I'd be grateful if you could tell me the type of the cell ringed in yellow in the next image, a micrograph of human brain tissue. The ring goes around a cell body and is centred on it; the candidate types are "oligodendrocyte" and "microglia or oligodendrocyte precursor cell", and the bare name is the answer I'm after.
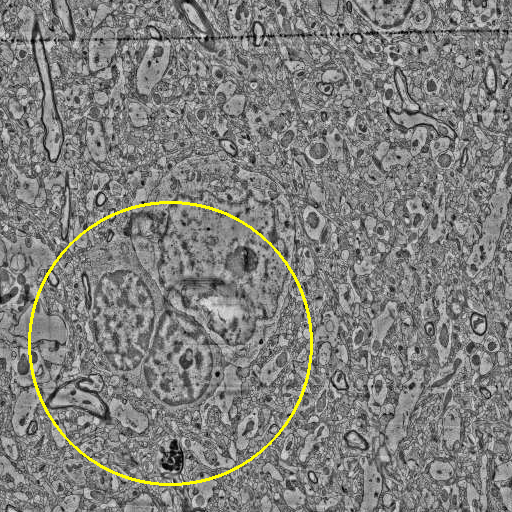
oligodendrocyte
